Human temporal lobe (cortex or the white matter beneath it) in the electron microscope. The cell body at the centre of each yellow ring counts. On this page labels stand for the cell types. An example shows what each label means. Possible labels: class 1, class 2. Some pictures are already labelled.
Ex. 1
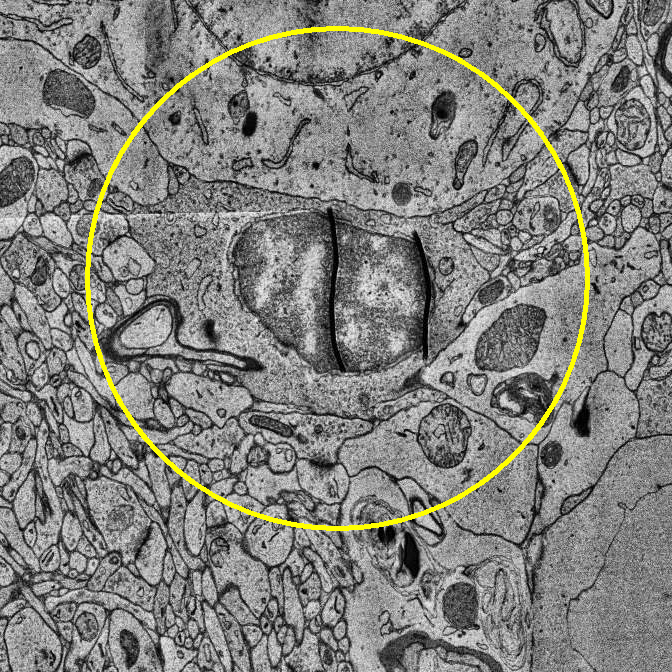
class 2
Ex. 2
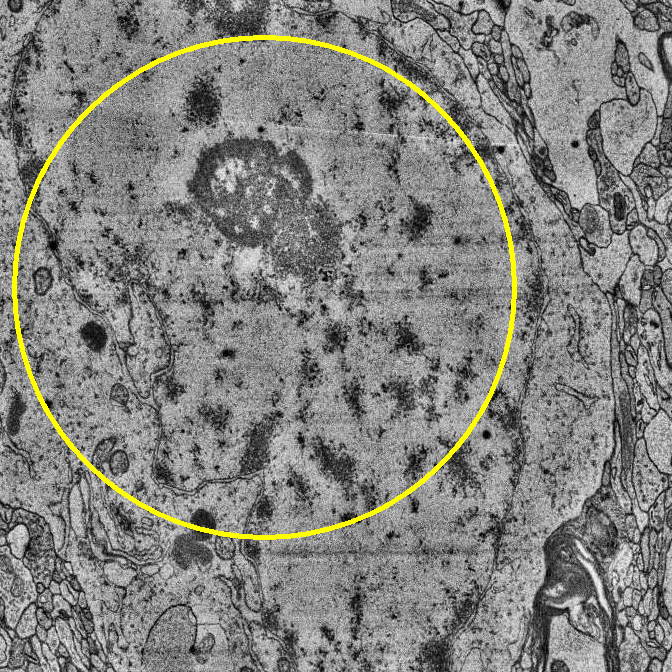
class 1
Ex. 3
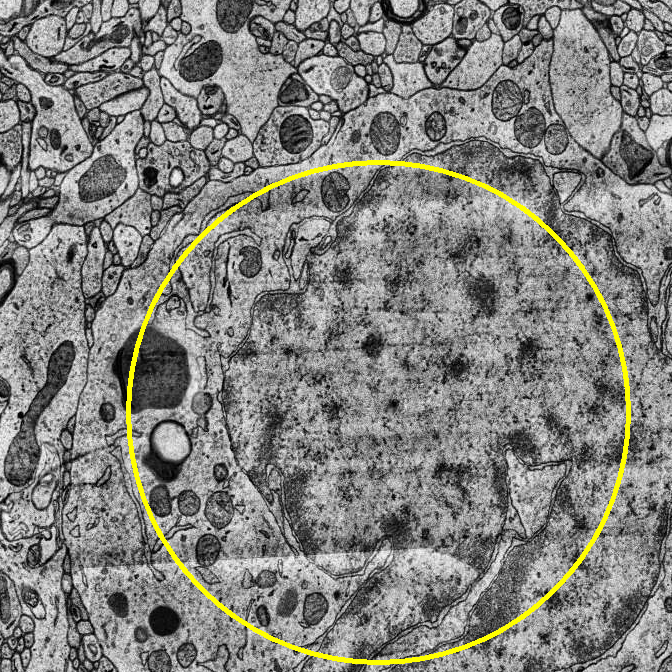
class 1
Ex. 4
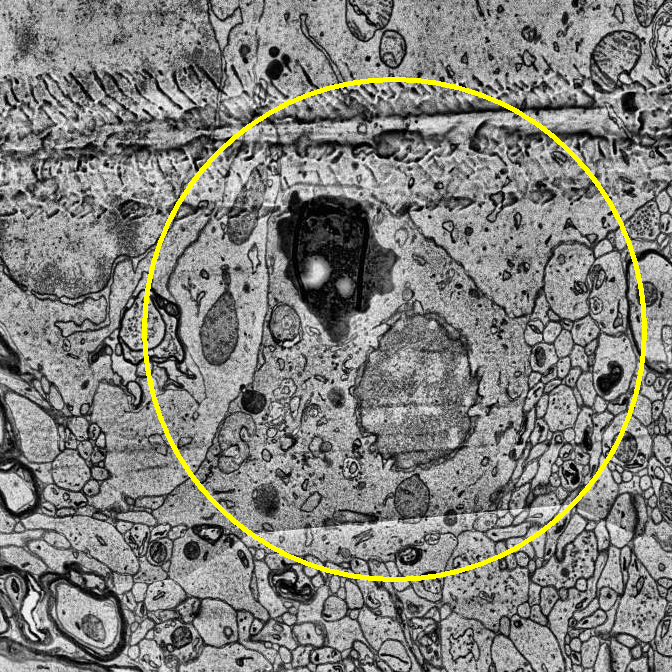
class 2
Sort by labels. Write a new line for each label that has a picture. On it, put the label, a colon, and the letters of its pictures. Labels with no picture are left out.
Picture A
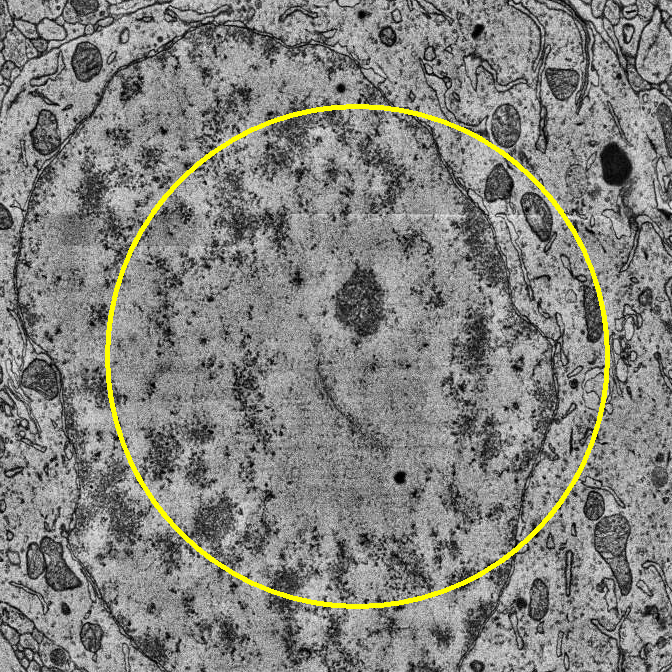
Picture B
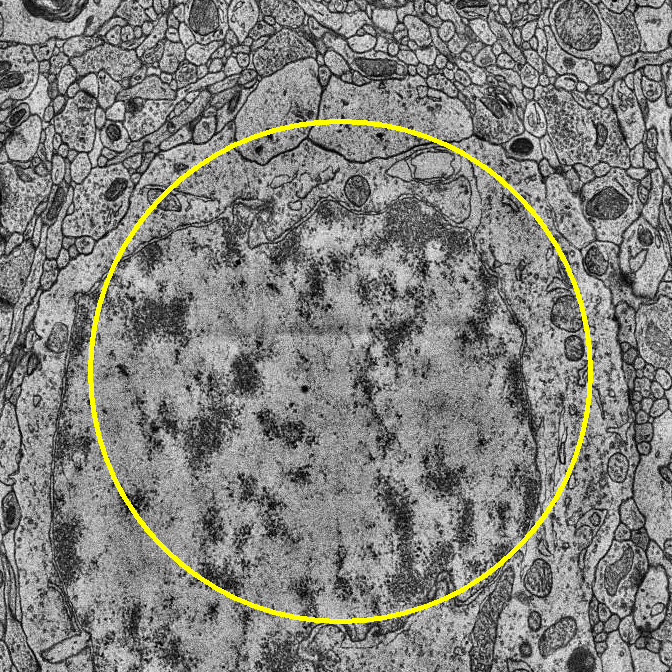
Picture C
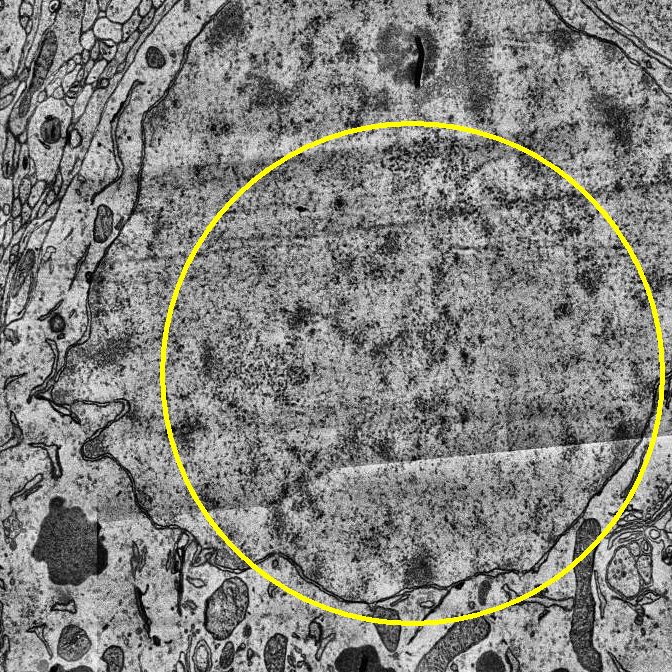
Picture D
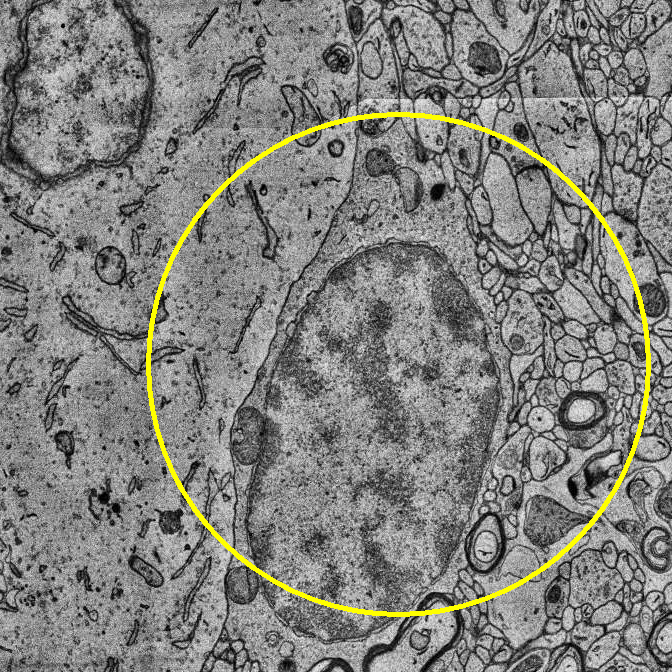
class 1: A, B, C
class 2: D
